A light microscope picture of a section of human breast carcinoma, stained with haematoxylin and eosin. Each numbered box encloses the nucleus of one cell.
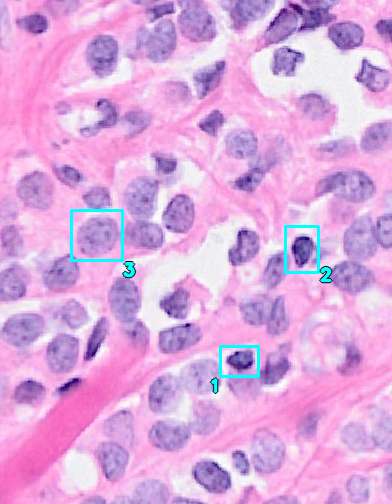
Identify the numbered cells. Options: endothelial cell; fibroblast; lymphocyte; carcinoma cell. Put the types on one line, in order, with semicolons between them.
lymphocyte; lymphocyte; carcinoma cell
